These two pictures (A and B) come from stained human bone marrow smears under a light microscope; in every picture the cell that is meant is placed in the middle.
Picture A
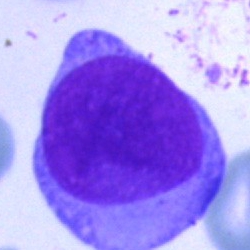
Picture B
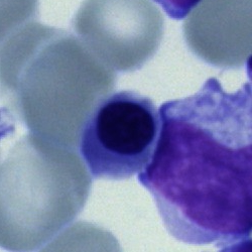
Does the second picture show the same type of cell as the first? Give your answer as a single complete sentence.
No, the types are not the same, since picture A shows a blast and picture B an erythroblast.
